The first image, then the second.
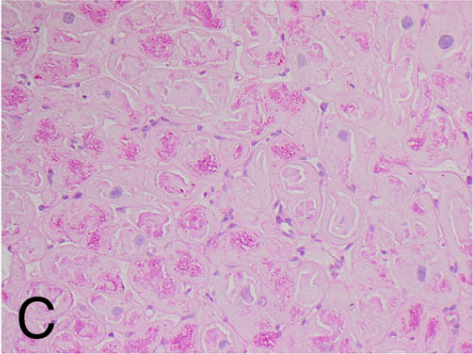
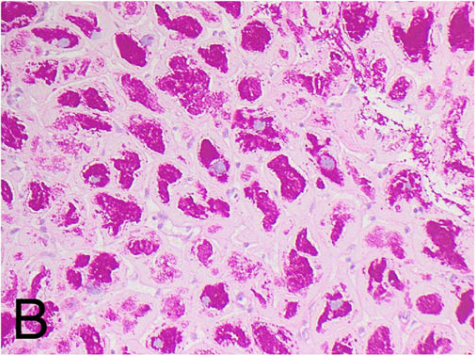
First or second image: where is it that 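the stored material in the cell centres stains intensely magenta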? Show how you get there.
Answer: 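The second image. Second image: cell centres hold dense dark magenta clumps.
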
